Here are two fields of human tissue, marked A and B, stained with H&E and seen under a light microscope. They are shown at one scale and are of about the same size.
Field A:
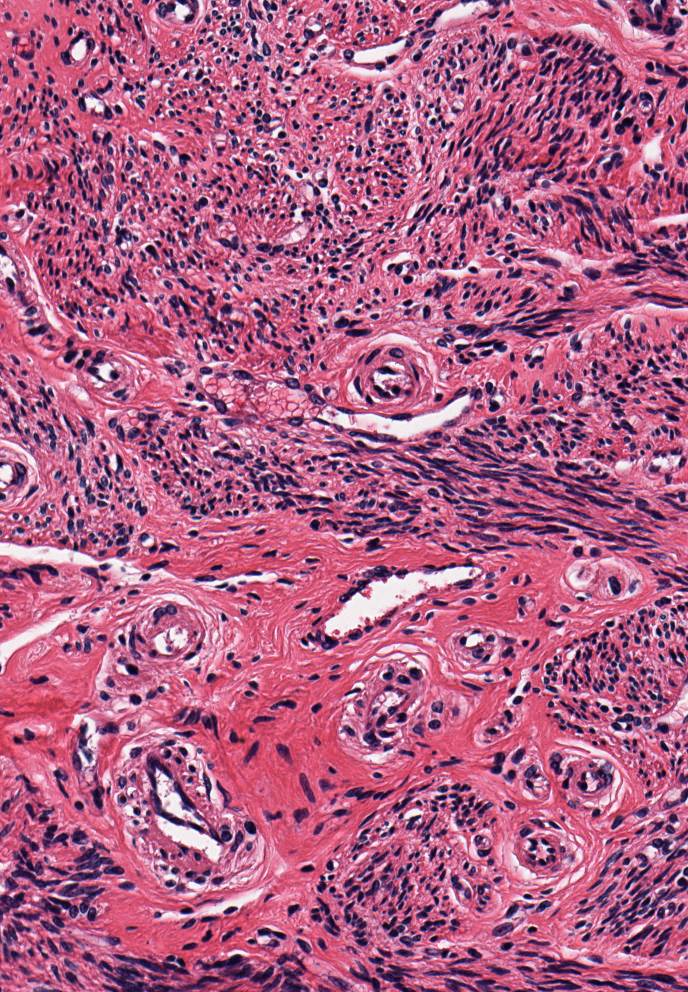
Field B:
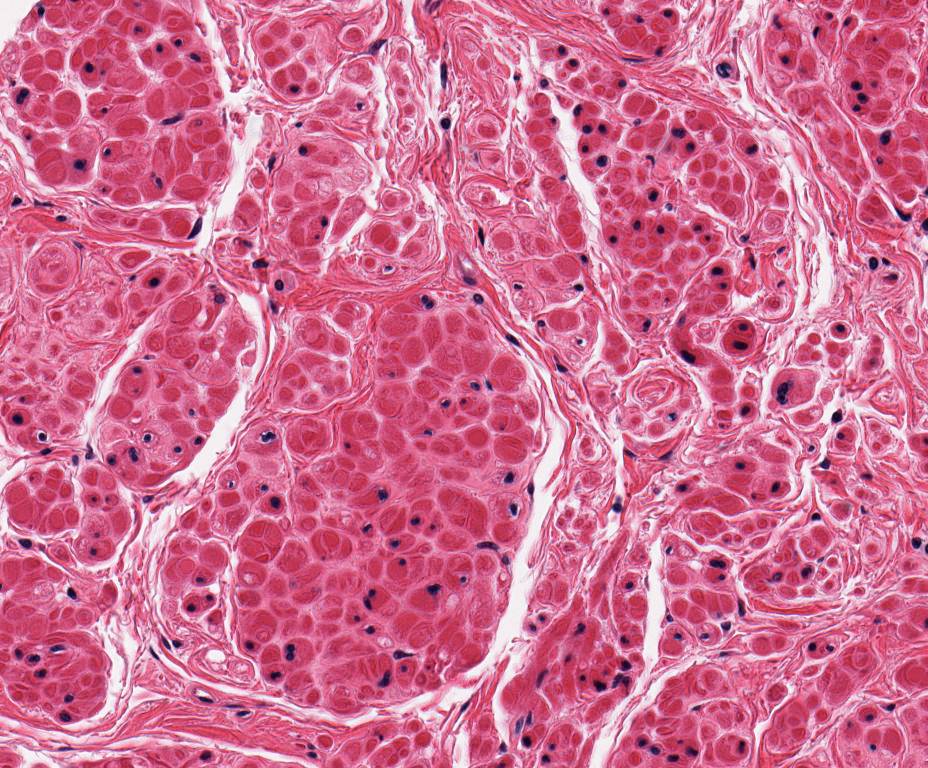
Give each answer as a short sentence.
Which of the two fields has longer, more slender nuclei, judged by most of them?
Longer, more slender nuclei lie in field A.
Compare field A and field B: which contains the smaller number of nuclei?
The smaller number of nuclei is in field B.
